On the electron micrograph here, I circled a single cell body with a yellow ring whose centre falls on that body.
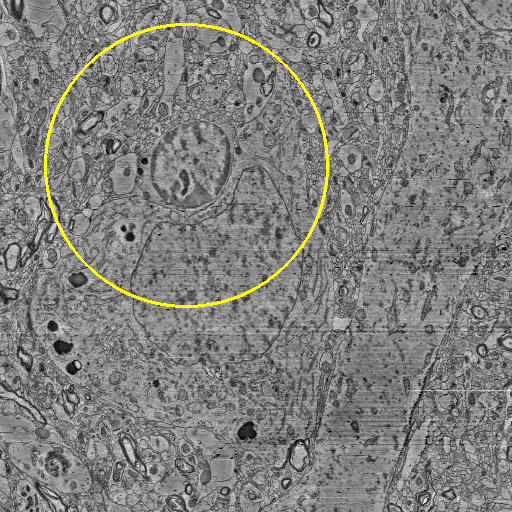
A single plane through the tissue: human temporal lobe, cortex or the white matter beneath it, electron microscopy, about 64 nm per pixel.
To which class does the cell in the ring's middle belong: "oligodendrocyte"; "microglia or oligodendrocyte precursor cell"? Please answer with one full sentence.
In this picture, the cell body circled at the ring's centre belongs to an oligodendrocyte.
